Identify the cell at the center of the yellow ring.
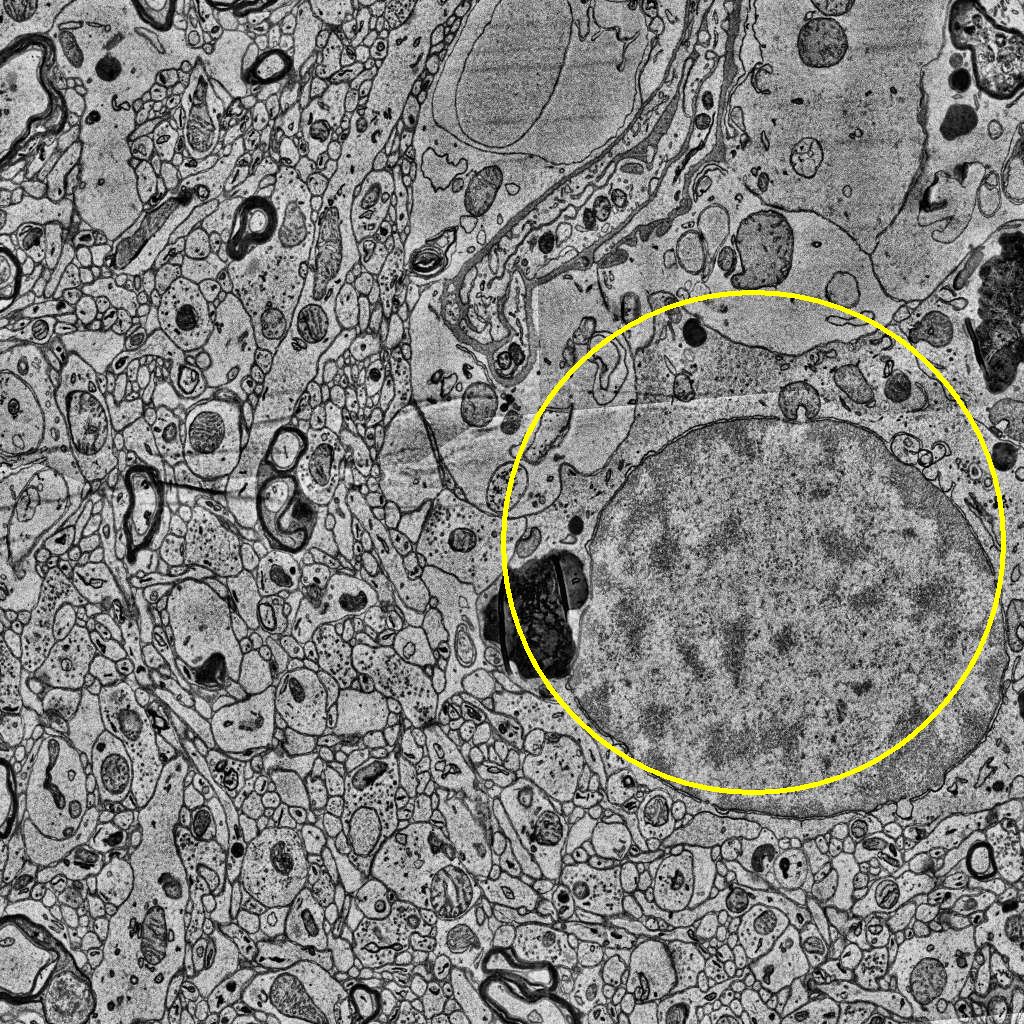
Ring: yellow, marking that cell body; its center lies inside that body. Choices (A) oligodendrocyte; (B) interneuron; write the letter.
A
